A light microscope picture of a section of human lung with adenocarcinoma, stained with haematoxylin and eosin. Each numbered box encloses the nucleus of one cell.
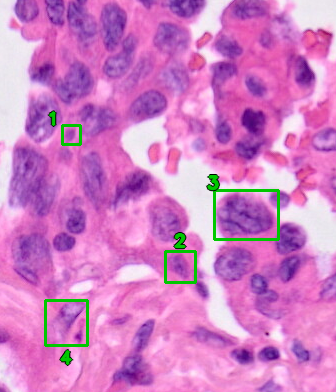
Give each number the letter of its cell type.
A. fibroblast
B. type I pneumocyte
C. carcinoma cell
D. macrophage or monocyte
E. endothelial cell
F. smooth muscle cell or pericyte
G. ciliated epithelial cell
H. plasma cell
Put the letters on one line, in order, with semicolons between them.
C; C; C; A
